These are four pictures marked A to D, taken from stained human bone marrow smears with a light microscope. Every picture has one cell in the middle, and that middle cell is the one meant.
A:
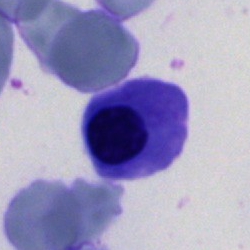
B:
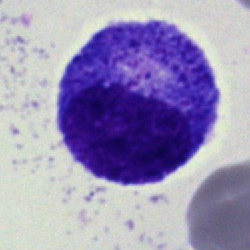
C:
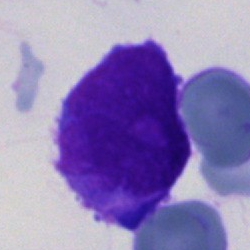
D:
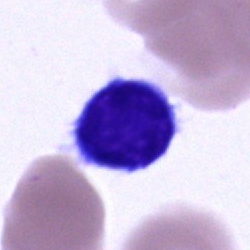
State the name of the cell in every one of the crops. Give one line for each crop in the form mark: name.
A: erythroblast
B: promyelocyte
C: blast
D: lymphocyte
